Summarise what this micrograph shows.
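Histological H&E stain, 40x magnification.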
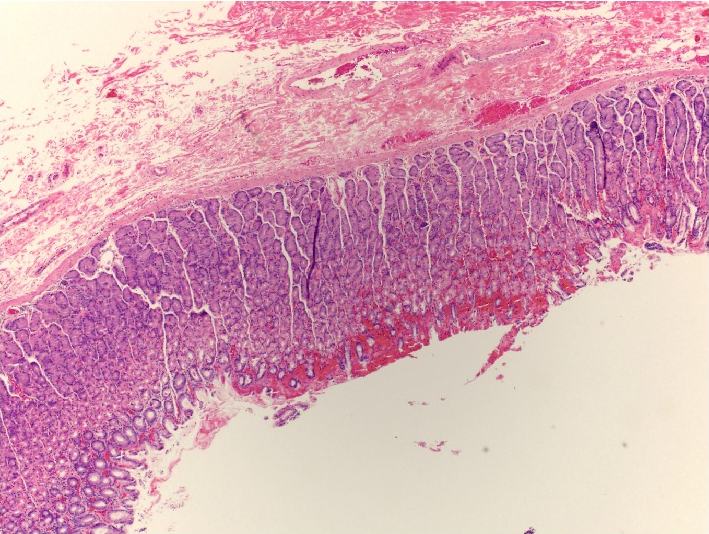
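This is a low-power view of a stomach wall, dominated by a thick glandular mucosa of long, straight, tightly packed tubular glands that run side by side toward the luminal surface. The glands are lined by closely packed cells that stain mostly purple, giving the layer a dense, granular look. Along the surface, the upper part of the mucosa is suffused with bright red, which is extravasated blood, and small fragments have come loose into the empty space beside it. On the other side of the glands, a thin pink band separates the mucosa from a pale, loosely arranged connective tissue that carries several blood vessels.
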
